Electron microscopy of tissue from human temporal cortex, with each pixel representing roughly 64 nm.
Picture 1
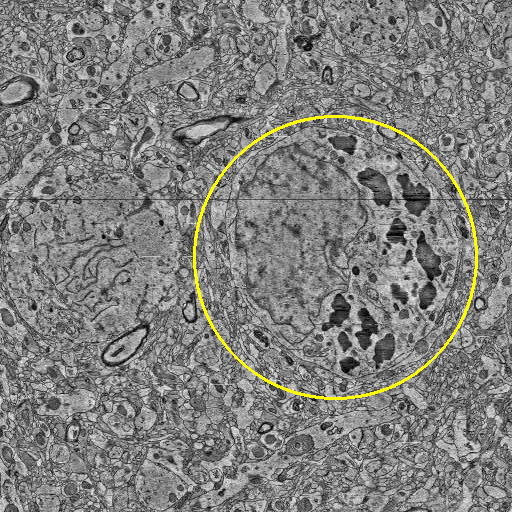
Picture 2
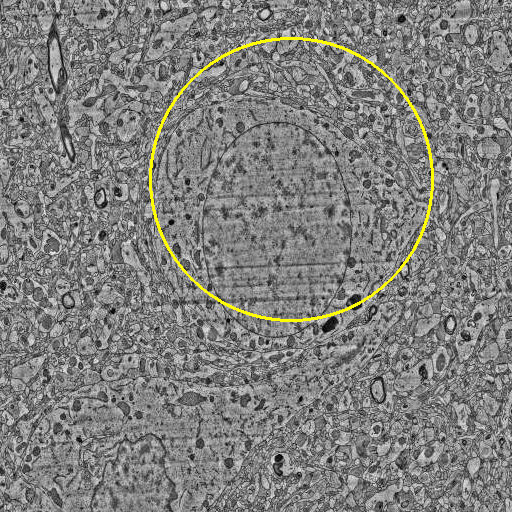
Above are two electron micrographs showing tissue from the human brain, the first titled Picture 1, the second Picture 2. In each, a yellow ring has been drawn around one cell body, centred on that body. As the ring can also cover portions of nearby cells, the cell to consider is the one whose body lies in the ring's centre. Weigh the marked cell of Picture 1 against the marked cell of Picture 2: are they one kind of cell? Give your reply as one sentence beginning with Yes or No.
No, the two cells sitting at the ring centres in the pictures are of two kinds.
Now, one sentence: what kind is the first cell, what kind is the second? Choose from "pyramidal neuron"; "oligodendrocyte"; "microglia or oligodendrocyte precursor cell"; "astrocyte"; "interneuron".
The first picture has an interneuron at its ring centre, and the second has a pyramidal neuron.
